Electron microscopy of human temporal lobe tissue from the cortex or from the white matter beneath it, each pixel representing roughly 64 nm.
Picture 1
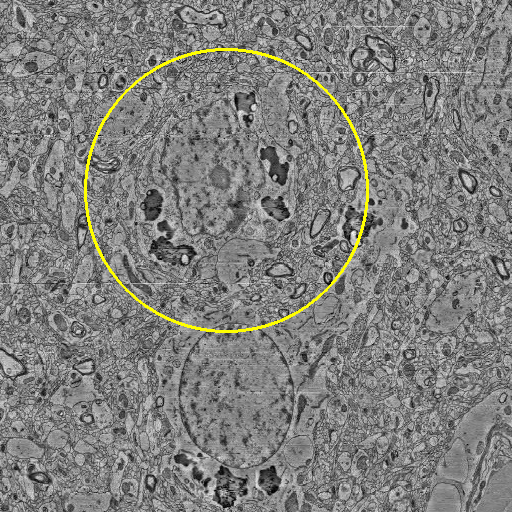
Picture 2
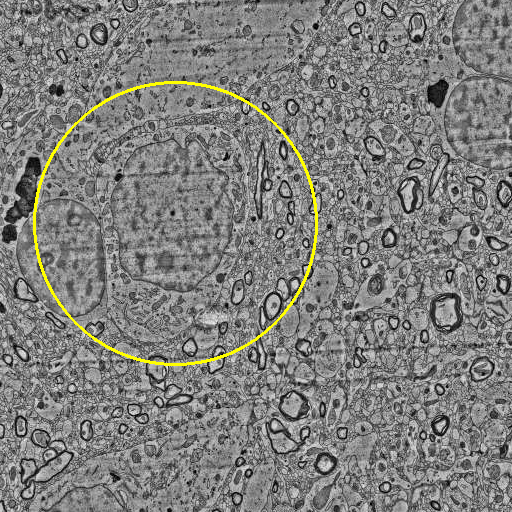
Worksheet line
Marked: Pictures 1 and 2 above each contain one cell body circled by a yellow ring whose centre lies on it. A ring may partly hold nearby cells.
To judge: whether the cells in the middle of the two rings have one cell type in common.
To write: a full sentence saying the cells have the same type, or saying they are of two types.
The cells in the middle of the rings in Picture 1 and Picture 2 have the same type.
